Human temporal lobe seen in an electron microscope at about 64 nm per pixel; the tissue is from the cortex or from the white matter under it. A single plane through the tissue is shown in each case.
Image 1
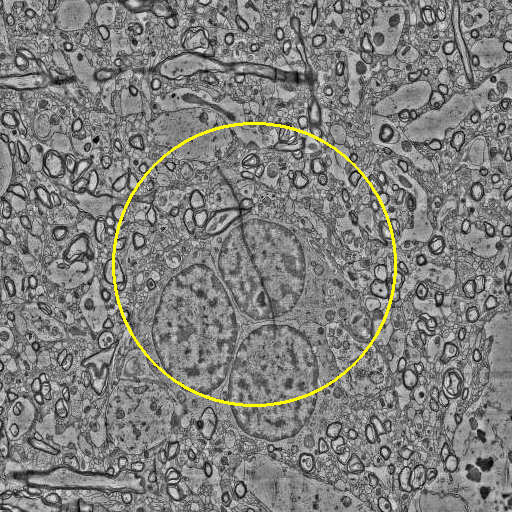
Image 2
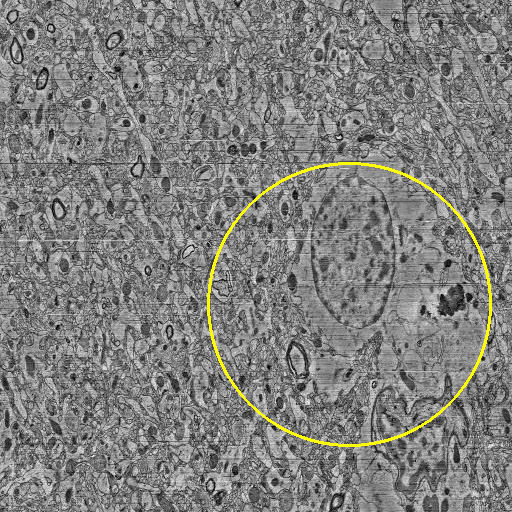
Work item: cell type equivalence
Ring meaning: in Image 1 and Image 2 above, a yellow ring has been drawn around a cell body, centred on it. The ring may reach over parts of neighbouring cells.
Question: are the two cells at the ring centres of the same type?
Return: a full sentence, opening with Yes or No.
No, the two centred cells are of two types.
